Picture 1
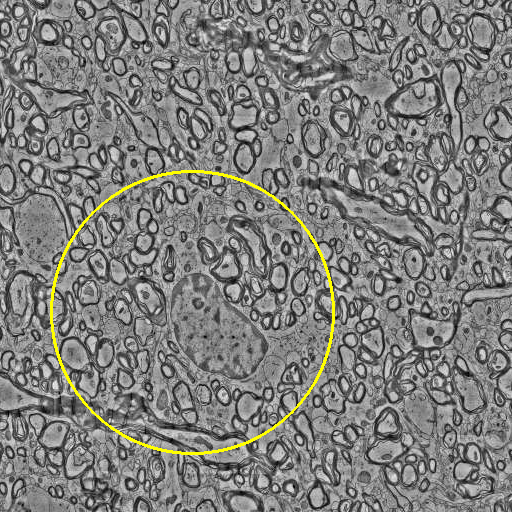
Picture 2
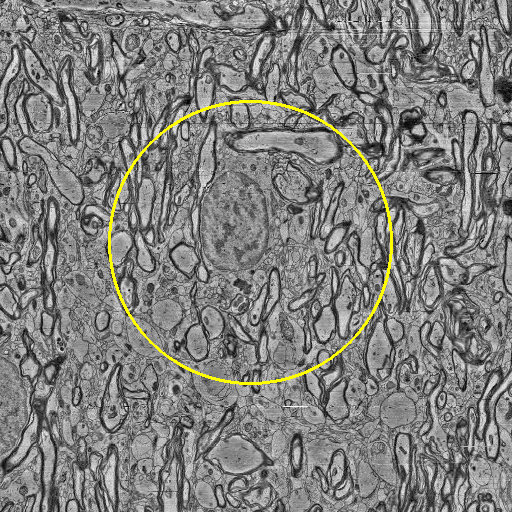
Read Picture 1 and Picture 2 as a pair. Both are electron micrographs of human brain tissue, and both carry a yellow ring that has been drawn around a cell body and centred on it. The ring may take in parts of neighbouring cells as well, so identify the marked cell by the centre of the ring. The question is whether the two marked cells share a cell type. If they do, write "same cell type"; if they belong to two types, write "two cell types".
two cell types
